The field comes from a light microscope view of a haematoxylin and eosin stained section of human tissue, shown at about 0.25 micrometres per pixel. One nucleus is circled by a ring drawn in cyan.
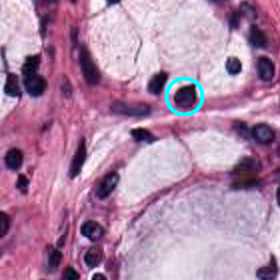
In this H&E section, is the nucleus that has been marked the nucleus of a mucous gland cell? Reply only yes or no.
yes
